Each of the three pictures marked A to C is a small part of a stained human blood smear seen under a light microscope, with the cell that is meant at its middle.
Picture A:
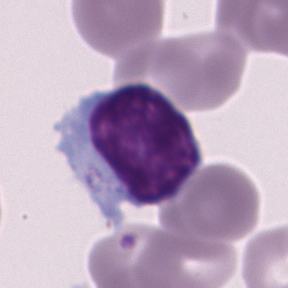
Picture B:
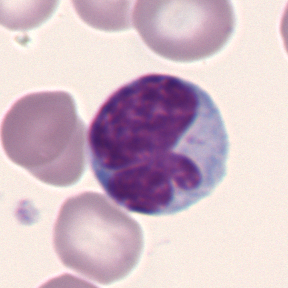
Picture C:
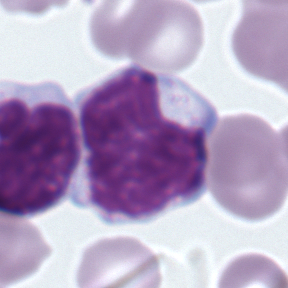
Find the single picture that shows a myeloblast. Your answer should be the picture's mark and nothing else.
B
